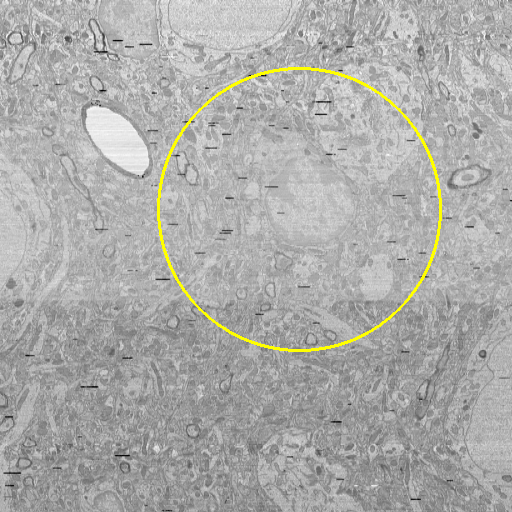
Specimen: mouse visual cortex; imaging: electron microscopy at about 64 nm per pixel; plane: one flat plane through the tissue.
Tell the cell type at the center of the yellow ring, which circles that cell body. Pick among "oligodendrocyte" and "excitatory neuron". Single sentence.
The ring is centered on the body of an oligodendrocyte.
